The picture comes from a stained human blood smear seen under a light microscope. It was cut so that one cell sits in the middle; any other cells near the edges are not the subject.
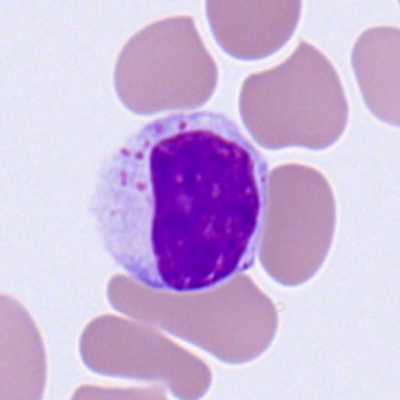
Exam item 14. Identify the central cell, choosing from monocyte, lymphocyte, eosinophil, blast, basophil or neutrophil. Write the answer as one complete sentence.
By classification, the middle cell of this crop is a lymphocyte.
